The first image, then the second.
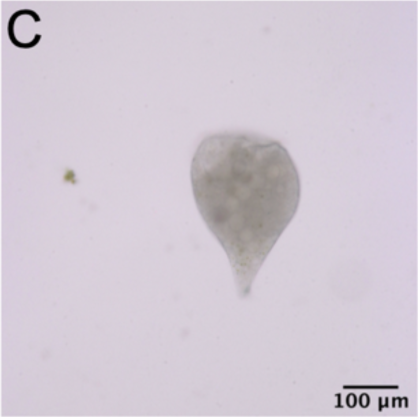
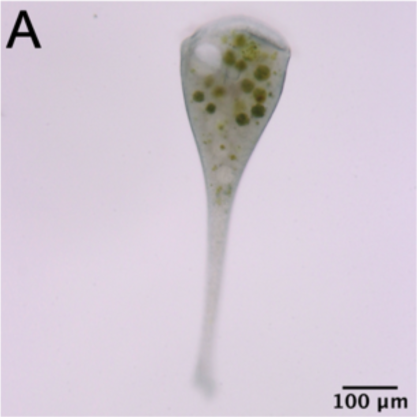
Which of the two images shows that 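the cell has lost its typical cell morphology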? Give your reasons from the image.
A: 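The first image. First image: a short, rounded pear-shaped cell with only a tiny stub at its lower end. Second image: a cell with a wide rounded front end drawn out into a long, slender tail.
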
